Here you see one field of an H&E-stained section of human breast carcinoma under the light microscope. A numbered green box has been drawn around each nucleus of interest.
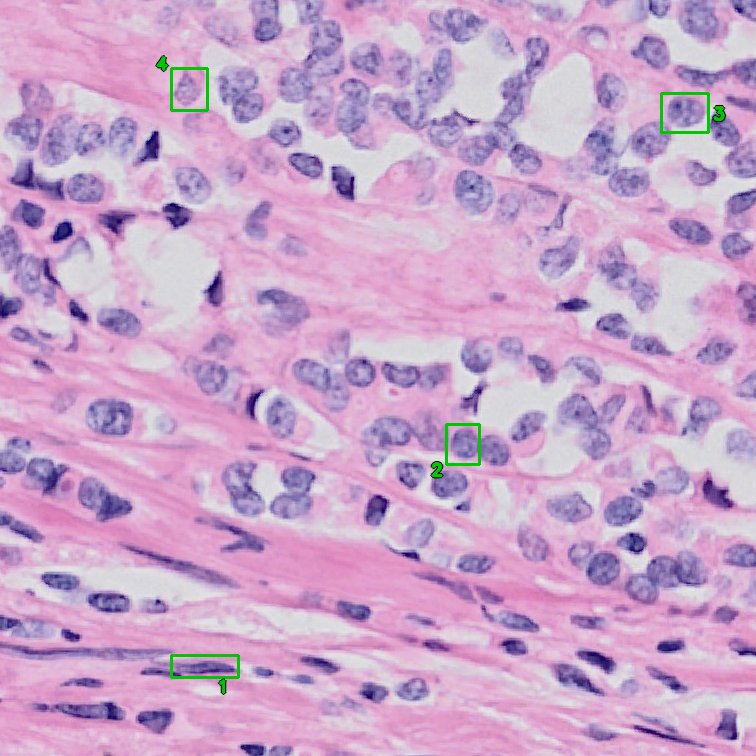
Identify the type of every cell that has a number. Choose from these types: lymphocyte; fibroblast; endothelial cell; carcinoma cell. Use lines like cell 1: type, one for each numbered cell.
cell 1: endothelial cell
cell 2: carcinoma cell
cell 3: carcinoma cell
cell 4: carcinoma cell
